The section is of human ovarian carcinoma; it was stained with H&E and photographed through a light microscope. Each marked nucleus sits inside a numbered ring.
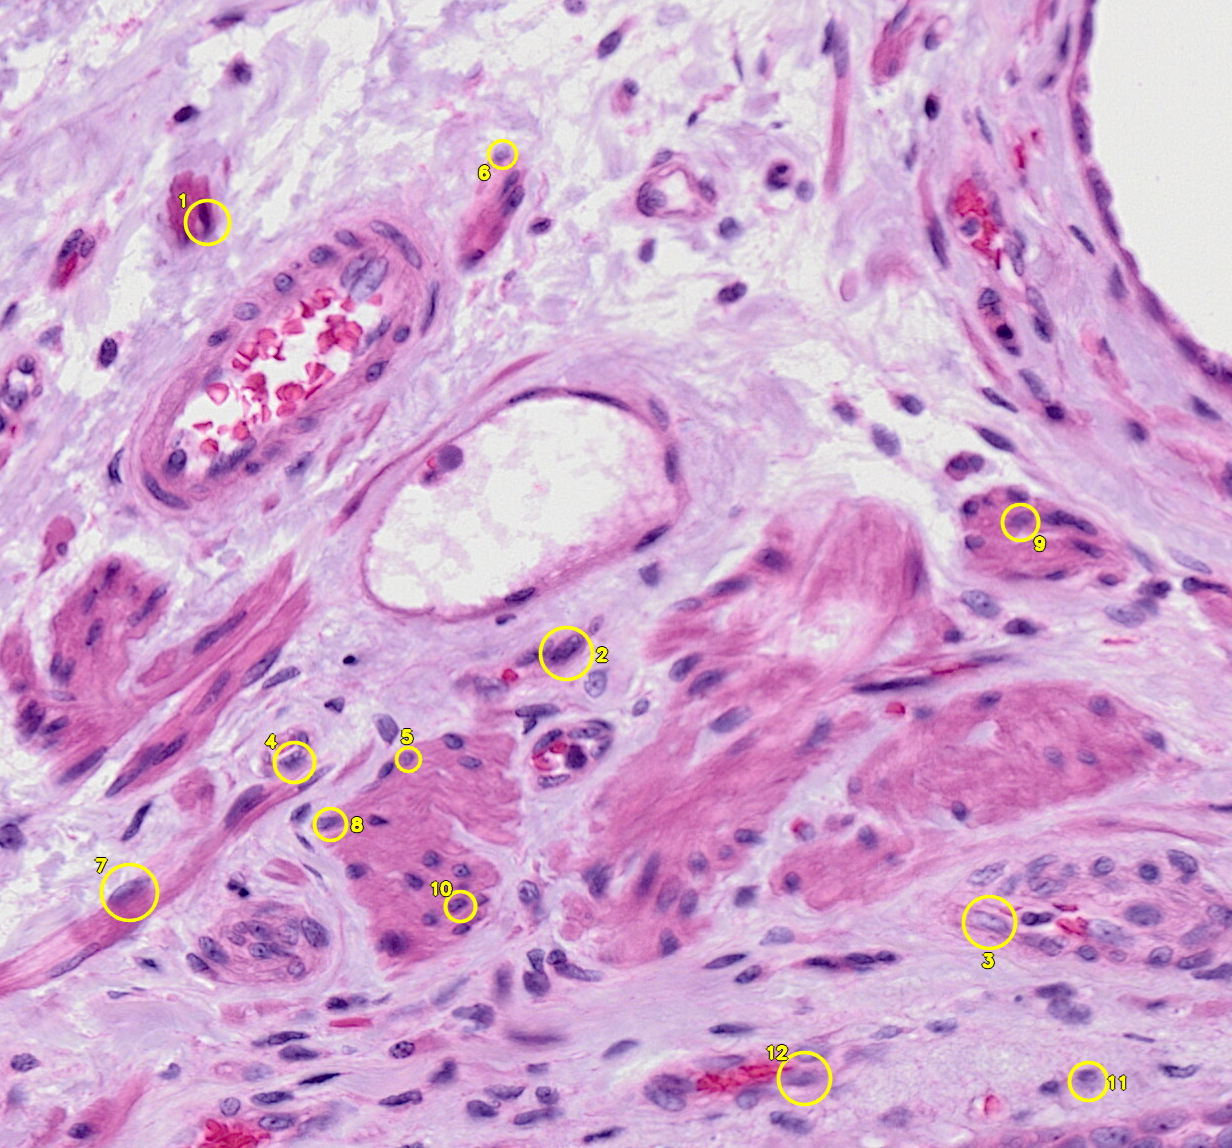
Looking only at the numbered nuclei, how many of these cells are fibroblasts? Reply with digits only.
1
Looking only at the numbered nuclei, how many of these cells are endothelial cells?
4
